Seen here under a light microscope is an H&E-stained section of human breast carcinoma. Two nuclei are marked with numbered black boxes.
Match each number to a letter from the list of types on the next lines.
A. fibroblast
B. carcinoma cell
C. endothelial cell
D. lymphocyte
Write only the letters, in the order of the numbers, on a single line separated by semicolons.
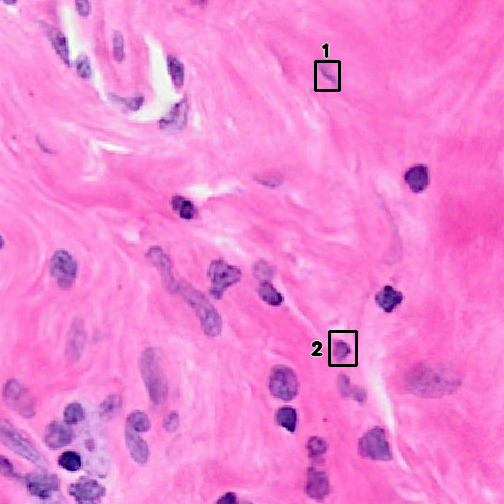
A; D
